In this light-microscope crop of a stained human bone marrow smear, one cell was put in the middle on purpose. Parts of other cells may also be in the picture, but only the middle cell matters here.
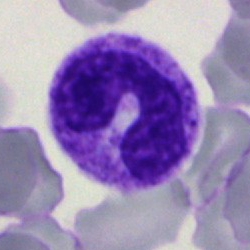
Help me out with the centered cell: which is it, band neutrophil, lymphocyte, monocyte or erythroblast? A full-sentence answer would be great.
In the central position of this crop, the cell is a band neutrophil.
